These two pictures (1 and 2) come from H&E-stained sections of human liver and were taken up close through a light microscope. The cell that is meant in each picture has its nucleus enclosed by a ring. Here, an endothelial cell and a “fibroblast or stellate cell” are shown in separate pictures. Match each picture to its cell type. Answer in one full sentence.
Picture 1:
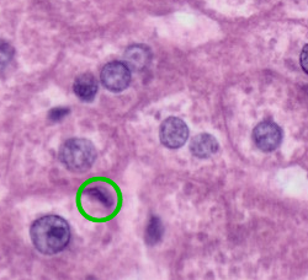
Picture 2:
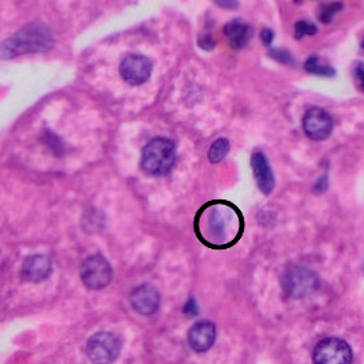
Picture 1 is of a “fibroblast or stellate cell”, and picture 2 is of an endothelial cell.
